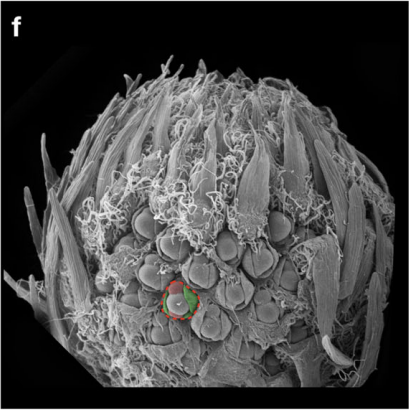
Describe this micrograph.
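A scanning electron image of a rounded, globe-like compound head. The lower surface bears many separate small domes, each with a smooth crown, set among tangled hairs; above them, long narrow pointed bracts cover the upper part. One dome is circled, with a small flattened outgrowth shaded green at its side and a rounded bump shaded red. Each dome is a secondary head whose secondary inflorescence meristem produces a bract and flower primordia, many such heads together forming the syncephalium.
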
